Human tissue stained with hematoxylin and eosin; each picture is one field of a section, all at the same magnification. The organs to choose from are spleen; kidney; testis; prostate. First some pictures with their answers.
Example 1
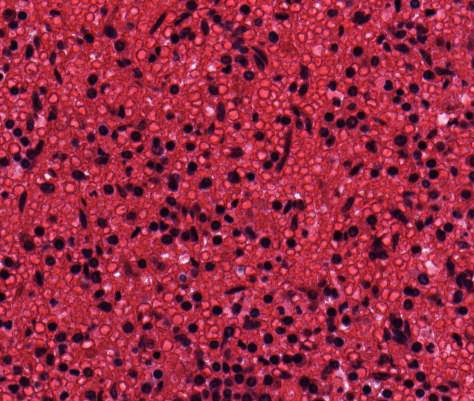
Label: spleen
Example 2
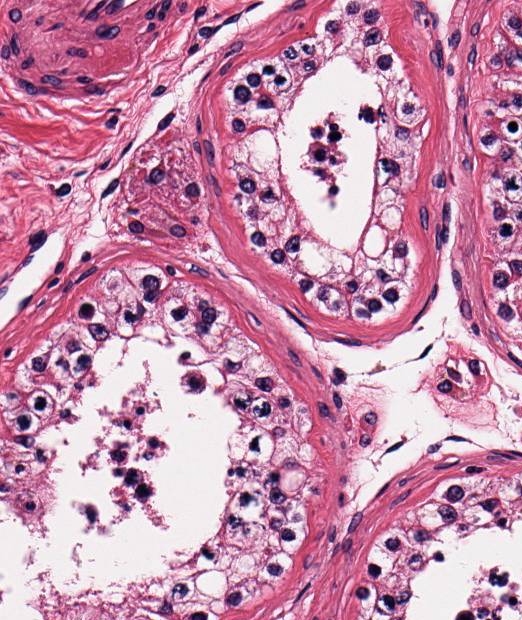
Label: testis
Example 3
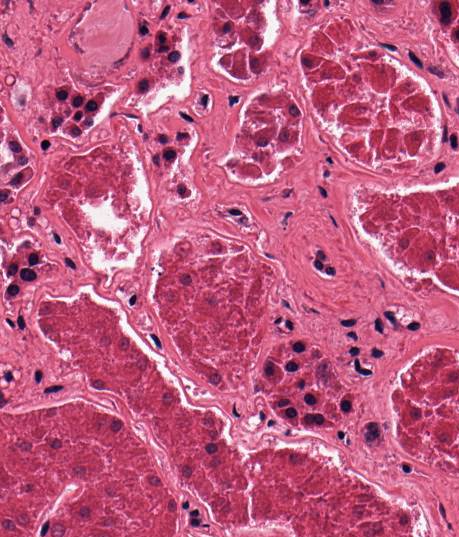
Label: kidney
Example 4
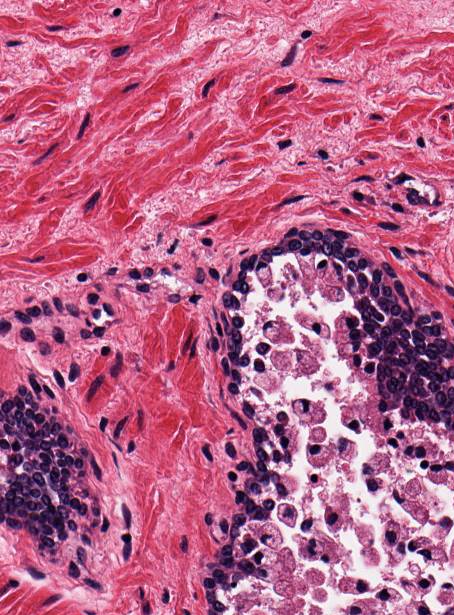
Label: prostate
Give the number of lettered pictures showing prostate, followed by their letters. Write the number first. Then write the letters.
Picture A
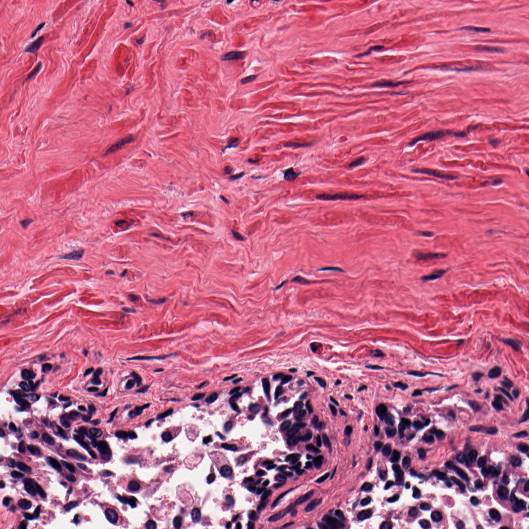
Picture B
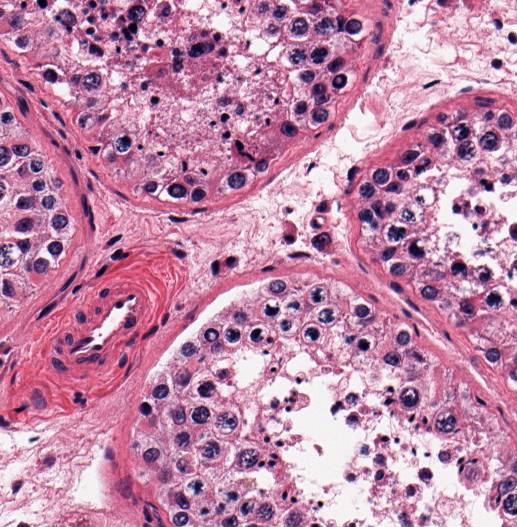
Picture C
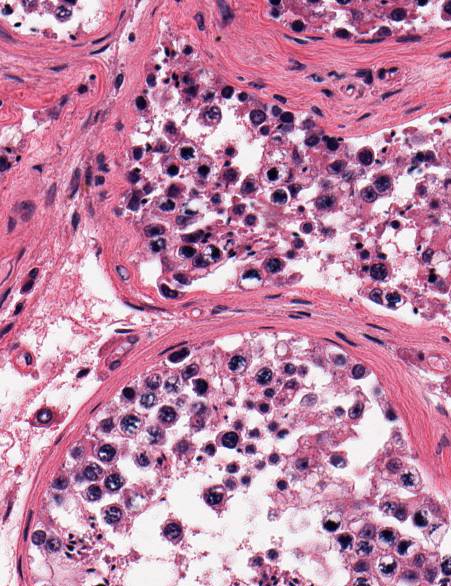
1: A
